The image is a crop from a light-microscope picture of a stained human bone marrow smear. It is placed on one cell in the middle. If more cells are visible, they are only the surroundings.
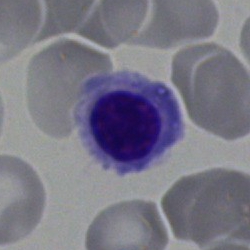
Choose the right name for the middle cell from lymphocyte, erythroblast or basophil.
erythroblast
